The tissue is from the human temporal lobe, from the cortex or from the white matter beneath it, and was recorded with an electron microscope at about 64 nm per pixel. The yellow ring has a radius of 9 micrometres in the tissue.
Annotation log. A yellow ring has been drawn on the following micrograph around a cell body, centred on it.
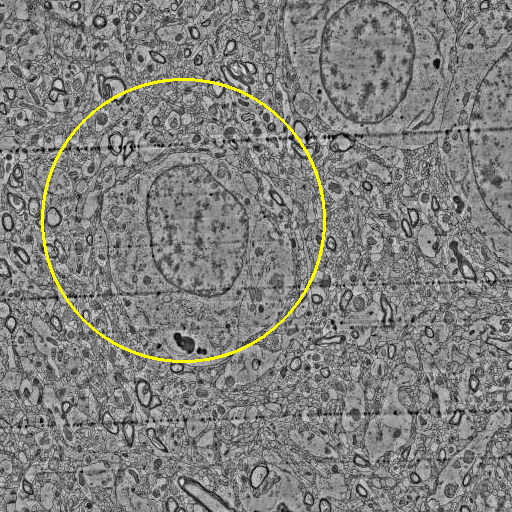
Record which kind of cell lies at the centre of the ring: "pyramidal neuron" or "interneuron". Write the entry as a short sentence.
The cell the ring is centred on is a pyramidal neuron.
